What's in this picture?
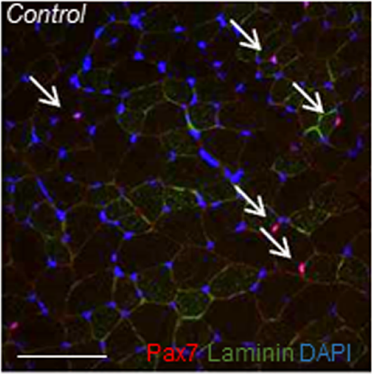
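This transverse section of skeletal muscle shows many muscle fibres cut in cross section, with a few satellite cells at their edges. Each fibre appears as a large rounded-polygonal profile outlined by a thin green ring at its periphery. Blue nuclei lie mostly at the edges of the fibres, not in their centres. A small number of nuclei are labelled red, and these sit at the fibre periphery next to the green outline. The fibres are closely packed with little space between them.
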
